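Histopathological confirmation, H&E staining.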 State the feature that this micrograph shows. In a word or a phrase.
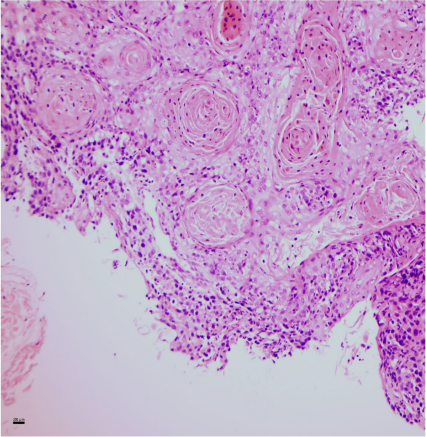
Keratin pearls.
